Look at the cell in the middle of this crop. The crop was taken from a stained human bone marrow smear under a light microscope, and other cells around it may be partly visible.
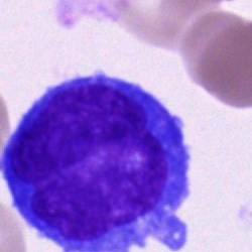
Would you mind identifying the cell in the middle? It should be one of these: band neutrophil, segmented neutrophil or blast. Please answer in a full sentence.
Answering briefly, the cell in the middle is a blast.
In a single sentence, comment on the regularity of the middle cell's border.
The periphery of this cell is uneven, with ragged portions or projections.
